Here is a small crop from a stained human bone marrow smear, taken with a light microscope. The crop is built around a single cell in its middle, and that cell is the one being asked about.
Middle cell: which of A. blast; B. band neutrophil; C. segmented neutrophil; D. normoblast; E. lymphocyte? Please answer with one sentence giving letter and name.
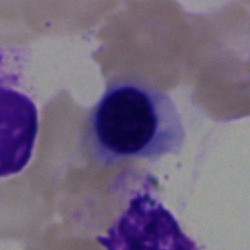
In this crop the central cell is a normoblast, which option D correctly states.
